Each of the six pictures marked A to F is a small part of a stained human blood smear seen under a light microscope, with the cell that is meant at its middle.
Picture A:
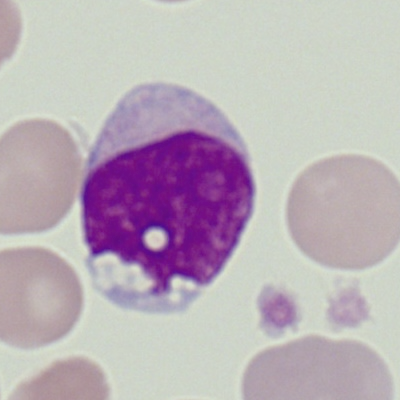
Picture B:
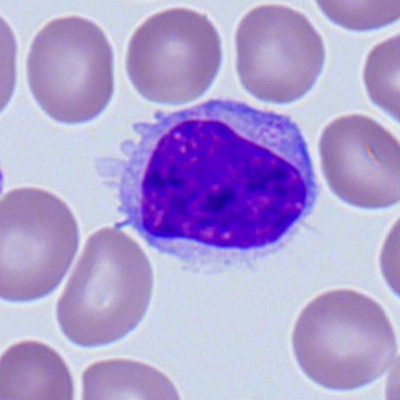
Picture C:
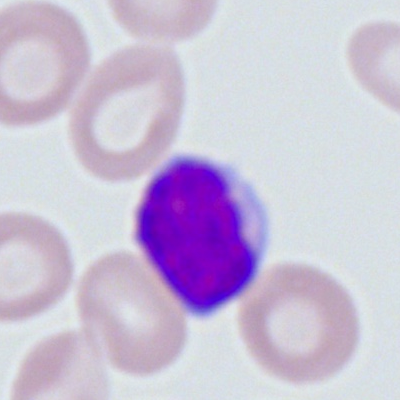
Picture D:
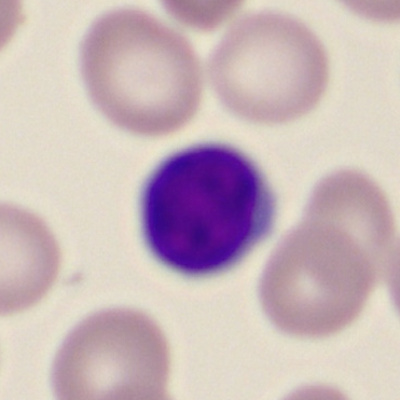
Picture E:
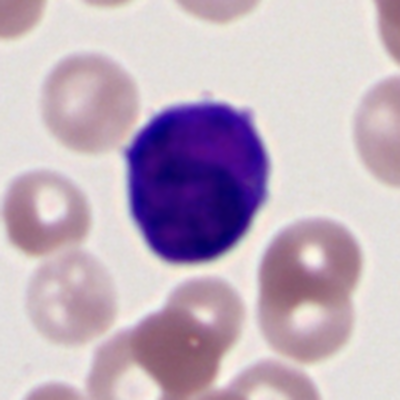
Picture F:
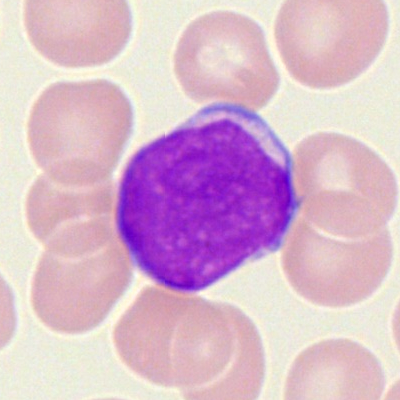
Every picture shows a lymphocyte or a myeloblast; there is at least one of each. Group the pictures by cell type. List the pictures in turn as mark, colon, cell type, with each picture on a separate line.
A: myeloblast
B: lymphocyte
C: lymphocyte
D: lymphocyte
E: myeloblast
F: myeloblast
